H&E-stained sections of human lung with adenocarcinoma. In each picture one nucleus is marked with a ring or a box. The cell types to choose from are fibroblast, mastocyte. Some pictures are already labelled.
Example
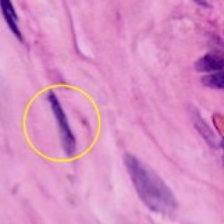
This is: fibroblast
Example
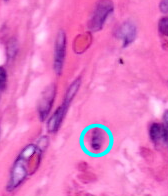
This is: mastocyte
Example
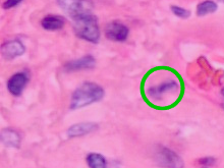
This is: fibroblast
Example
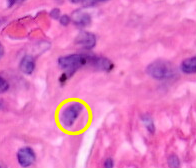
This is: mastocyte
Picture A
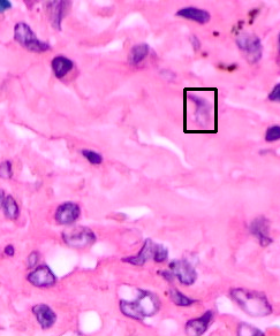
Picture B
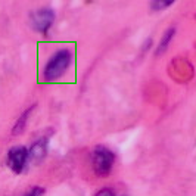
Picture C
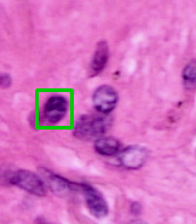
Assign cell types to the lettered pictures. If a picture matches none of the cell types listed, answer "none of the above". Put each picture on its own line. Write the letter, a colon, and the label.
A: fibroblast
B: mastocyte
C: none of the above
